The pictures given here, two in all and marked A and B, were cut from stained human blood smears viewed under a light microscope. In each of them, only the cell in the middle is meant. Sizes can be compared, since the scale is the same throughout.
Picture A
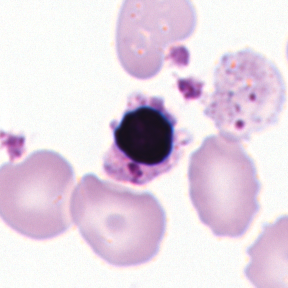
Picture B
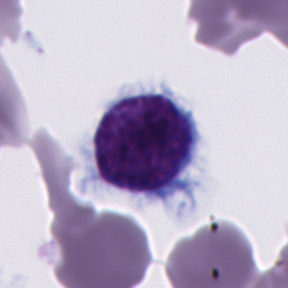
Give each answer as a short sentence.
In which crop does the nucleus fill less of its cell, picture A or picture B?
The nucleus fills less of the cell in picture A than in picture B.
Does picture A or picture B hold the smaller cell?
It is the cell in picture A; the cell in picture B has about 2 times its area.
